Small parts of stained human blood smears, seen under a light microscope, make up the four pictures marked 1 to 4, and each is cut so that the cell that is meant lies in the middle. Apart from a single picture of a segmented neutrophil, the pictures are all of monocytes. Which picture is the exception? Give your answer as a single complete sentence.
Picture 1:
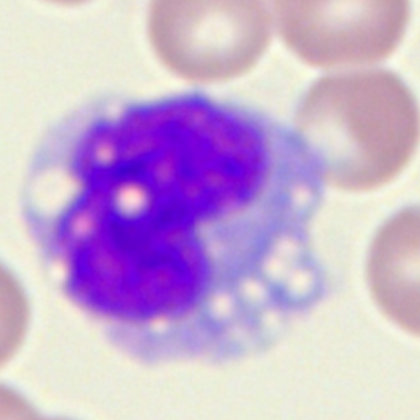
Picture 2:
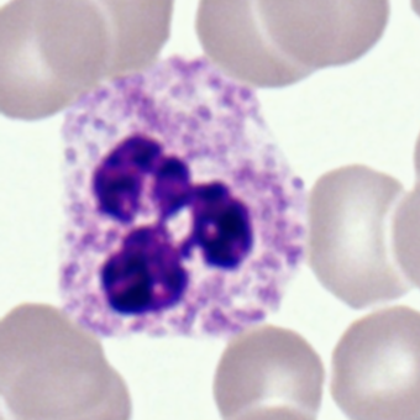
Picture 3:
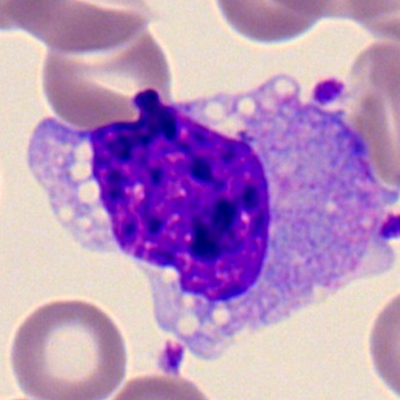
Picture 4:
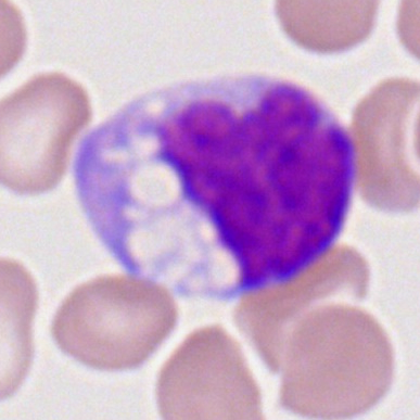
The picture with the segmented neutrophil is 2.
